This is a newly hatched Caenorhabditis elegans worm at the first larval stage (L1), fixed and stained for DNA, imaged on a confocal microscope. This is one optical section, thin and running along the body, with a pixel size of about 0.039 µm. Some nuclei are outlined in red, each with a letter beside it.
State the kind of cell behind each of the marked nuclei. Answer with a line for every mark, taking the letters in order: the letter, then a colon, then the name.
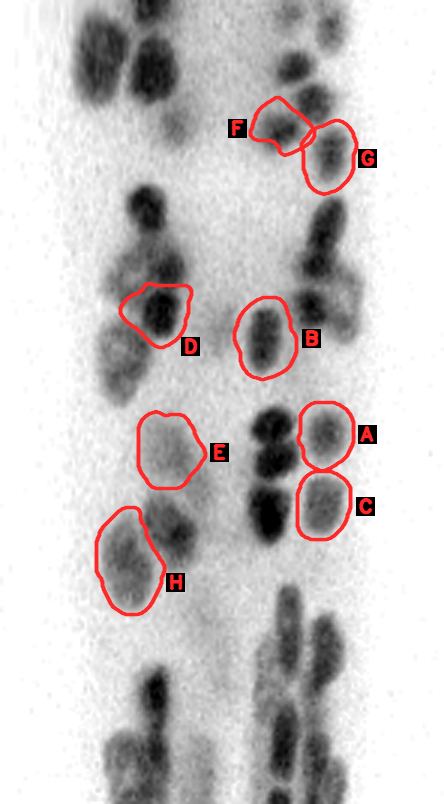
A: hypodermal cell (hyp)
B: neuron
C: hypodermal cell (hyp)
D: neuron
E: pharyngeal muscle cell
F: GLR cell
G: neuron
H: hypodermal cell (hyp)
